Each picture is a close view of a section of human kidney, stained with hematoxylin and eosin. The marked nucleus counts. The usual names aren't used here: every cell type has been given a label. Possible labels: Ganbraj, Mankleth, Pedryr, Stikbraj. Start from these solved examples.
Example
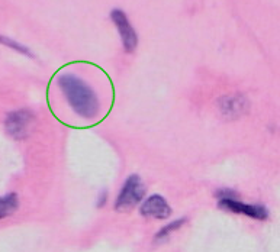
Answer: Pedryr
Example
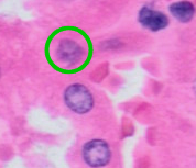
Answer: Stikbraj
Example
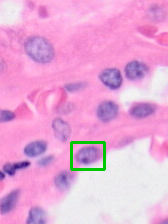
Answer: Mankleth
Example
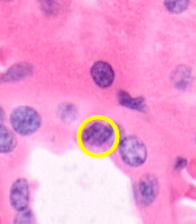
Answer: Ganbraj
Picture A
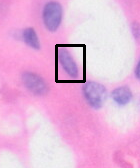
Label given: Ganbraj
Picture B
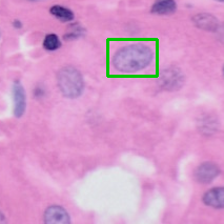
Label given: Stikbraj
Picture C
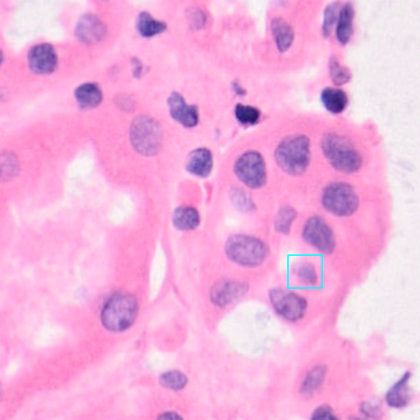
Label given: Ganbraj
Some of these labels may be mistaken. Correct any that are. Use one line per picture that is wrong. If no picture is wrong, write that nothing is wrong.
None of the labels needs changing.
